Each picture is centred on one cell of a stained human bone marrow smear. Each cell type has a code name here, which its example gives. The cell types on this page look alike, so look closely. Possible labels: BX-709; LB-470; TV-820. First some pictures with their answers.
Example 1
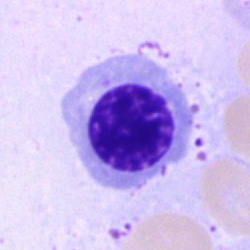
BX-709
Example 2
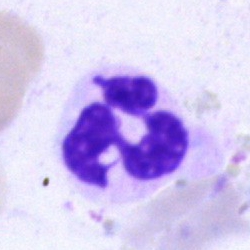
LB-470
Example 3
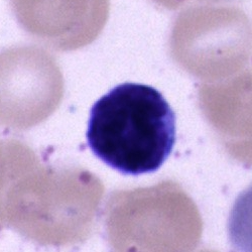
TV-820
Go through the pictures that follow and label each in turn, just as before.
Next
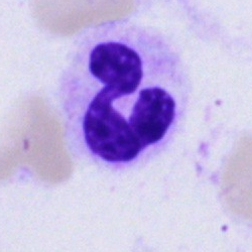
LB-470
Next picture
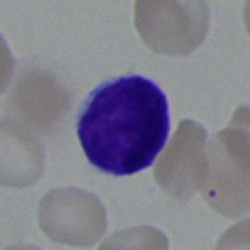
TV-820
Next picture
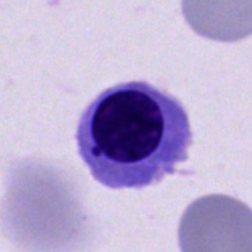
BX-709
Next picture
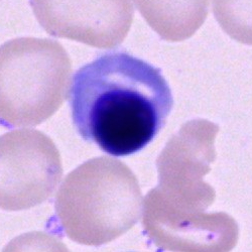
BX-709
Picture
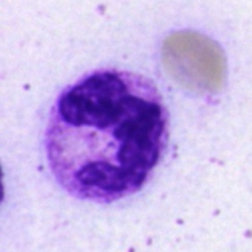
LB-470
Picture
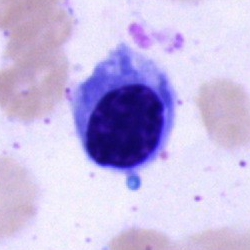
BX-709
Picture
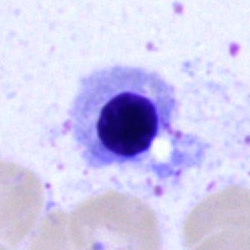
BX-709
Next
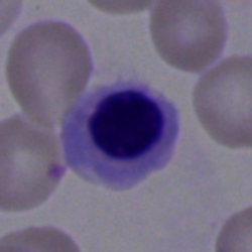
BX-709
